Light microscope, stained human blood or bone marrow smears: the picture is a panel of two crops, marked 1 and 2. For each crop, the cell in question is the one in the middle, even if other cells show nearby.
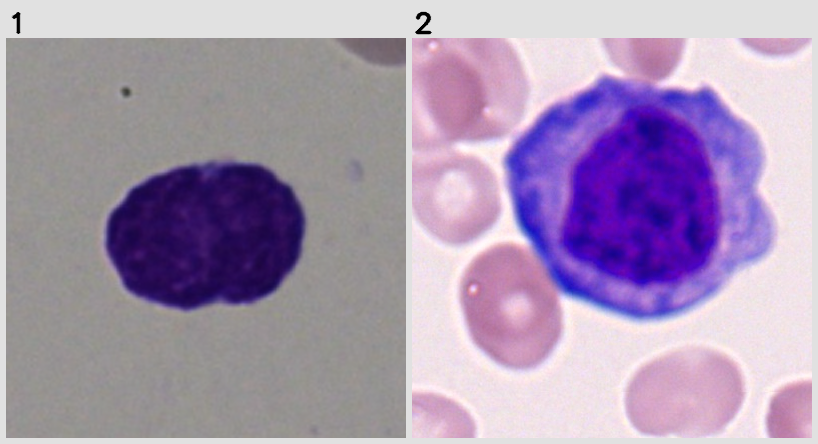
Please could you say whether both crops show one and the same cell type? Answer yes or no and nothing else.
yes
